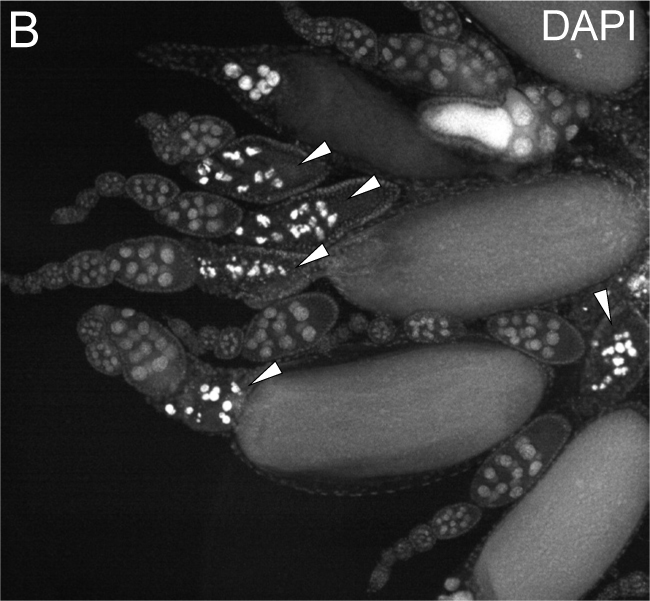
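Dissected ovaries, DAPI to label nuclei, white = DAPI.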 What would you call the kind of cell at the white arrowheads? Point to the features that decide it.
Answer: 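The arrowheads point to egg chambers whose nuclear staining is broken into many small, very bright dots. Neighbouring egg chambers have large, round, evenly stained nuclei. On this evidence: apoptotic cells.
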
